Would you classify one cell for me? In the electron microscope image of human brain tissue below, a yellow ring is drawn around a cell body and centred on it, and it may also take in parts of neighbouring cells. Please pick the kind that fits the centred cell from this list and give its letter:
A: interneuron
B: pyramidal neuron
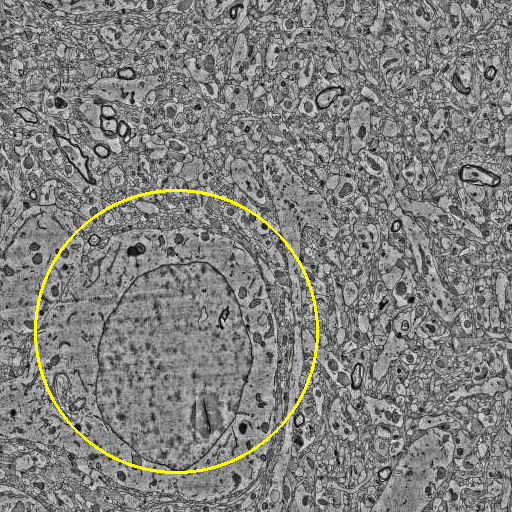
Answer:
B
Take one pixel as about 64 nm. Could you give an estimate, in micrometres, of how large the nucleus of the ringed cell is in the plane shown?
In this plane the nucleus is about 13 micrometres by 10.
